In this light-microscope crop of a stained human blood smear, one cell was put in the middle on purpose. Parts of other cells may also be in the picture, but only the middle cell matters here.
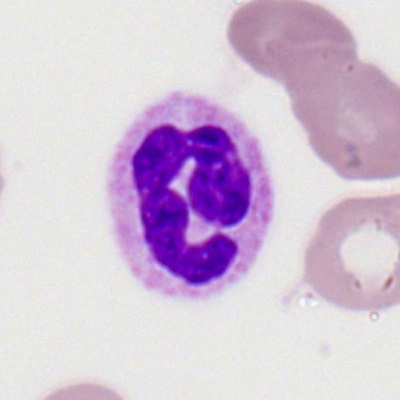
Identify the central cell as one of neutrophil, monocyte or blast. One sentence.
The central element of this crop is a cell, namely a neutrophil.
